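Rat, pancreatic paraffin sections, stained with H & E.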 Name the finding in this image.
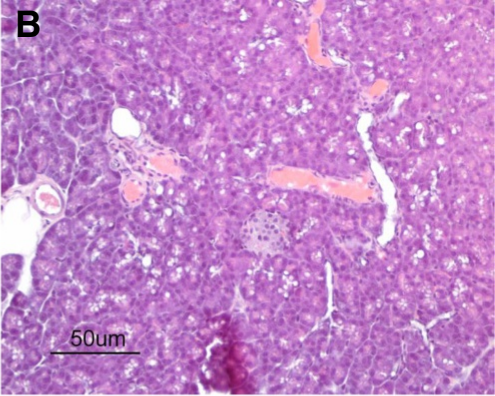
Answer: multiple vacuolization sites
